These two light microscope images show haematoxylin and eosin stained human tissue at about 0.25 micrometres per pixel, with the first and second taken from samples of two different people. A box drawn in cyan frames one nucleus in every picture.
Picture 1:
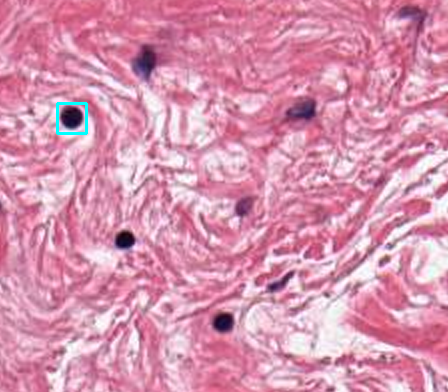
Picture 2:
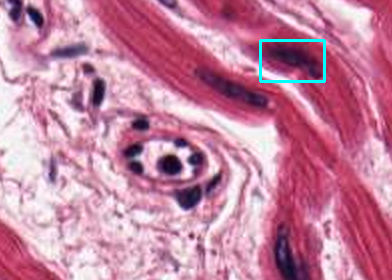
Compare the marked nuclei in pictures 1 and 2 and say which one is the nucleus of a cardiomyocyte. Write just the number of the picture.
2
